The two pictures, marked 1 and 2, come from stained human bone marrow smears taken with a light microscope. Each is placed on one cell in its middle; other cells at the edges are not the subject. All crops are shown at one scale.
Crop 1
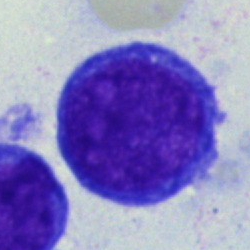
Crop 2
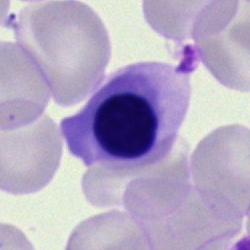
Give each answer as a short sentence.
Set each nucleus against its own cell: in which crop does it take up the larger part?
The nucleus fills more of the cell in crop 1 than in crop 2.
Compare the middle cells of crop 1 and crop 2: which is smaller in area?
The cell in crop 2 is smaller; the one in crop 1 has about 2 times its area.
